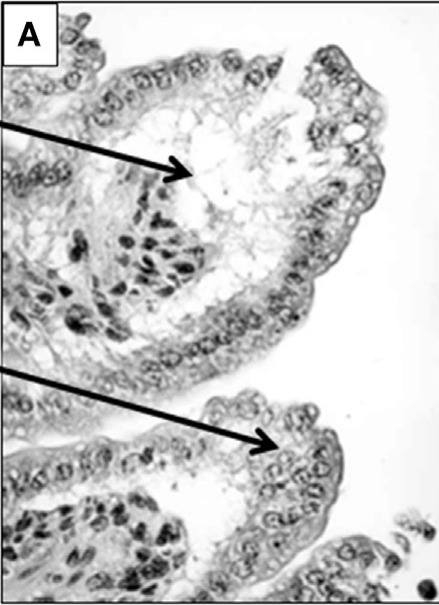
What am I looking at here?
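These are small intestinal villi lined by a single layer of columnar epithelial cells with oval, dark-rimmed nuclei arranged along the surface. Inside the upper villus the core is largely replaced by pale, foamy, clear spaces separated by thin strands, with only a few dark nuclei clustered near its base. The lower villus is short and blunt, its epithelium crowded at the rounded tip. The lining cells in places look swollen and pale, and the surface is irregular. Together this fits damaged villi with vacuolation and edema and shortening of the villi.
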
